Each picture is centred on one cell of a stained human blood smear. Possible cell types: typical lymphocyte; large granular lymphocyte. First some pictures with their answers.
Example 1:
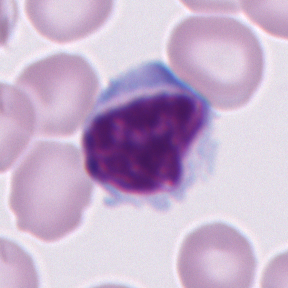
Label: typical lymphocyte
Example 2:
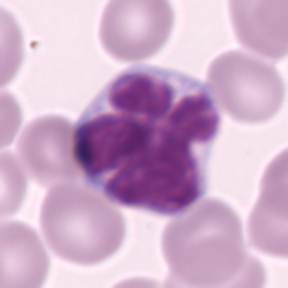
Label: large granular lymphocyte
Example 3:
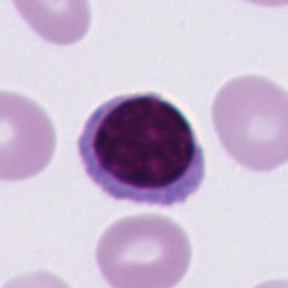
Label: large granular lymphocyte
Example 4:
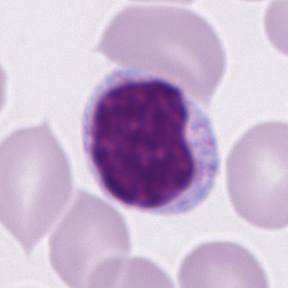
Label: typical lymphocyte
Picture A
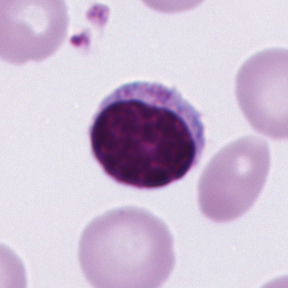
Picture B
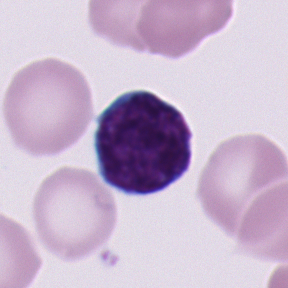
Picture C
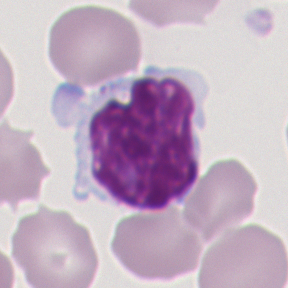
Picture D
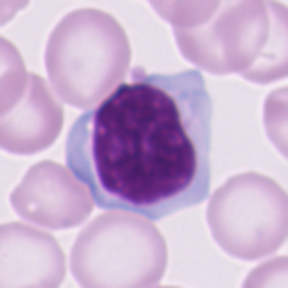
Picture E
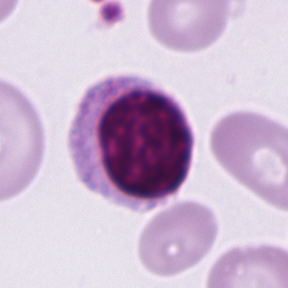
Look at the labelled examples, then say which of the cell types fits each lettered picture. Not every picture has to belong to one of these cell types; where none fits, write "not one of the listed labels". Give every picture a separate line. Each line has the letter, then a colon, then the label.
A: large granular lymphocyte
B: typical lymphocyte
C: typical lymphocyte
D: typical lymphocyte
E: large granular lymphocyte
